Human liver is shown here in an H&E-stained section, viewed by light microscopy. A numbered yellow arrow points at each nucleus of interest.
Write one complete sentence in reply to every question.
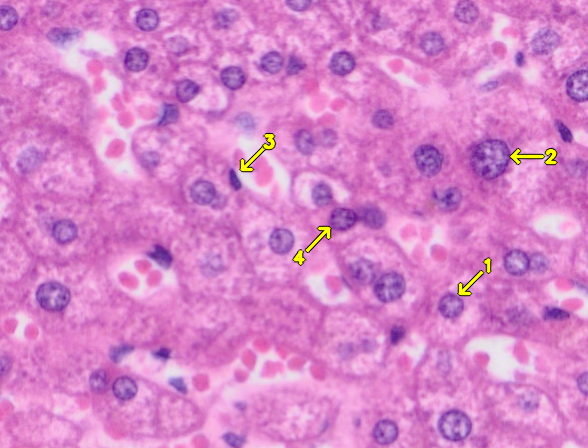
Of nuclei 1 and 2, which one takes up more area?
Nucleus 2 covers more area, about 2 times as much as nucleus 1.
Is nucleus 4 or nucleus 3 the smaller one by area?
It is nucleus 3; nucleus 4 has about 2 times its area.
